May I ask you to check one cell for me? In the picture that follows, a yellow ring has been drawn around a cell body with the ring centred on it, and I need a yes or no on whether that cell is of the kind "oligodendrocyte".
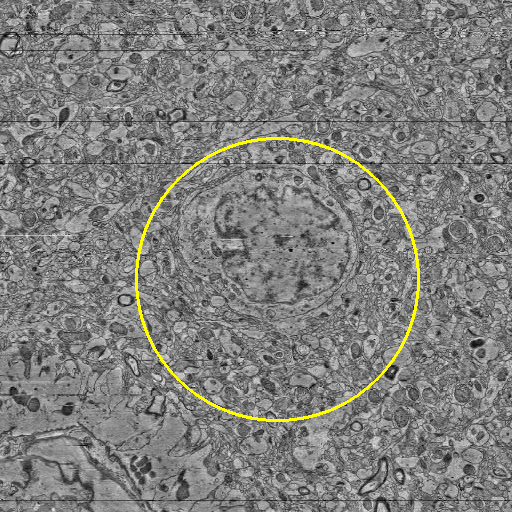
No, it is some other kind of cell.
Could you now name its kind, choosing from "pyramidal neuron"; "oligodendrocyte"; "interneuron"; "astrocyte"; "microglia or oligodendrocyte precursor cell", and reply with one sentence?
The cell ringed in the picture is an interneuron.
